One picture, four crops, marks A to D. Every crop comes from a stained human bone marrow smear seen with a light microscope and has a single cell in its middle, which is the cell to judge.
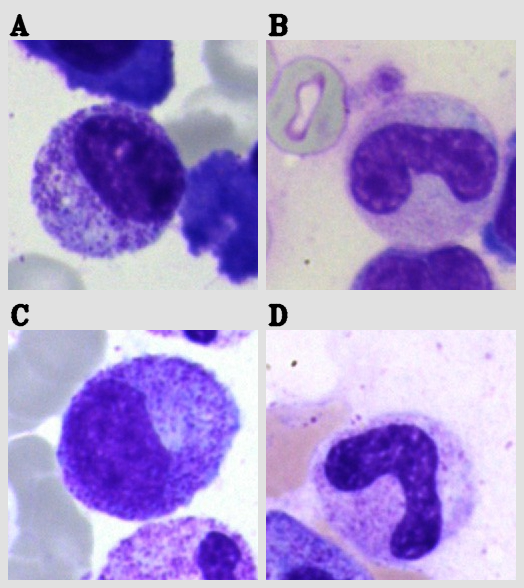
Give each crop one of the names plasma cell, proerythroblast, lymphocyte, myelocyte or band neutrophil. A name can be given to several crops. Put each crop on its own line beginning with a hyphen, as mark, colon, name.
- A: myelocyte
- B: band neutrophil
- C: myelocyte
- D: band neutrophil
